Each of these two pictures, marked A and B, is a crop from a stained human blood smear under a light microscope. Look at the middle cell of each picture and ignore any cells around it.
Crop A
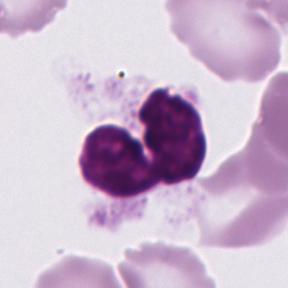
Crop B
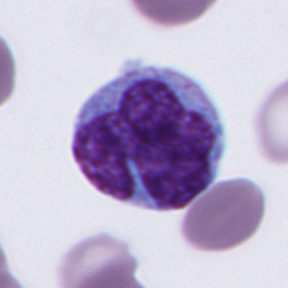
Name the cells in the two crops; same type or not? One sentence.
No, in crop A the cell is a neutrophil, and in crop B it is a monocyte.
